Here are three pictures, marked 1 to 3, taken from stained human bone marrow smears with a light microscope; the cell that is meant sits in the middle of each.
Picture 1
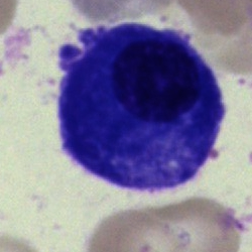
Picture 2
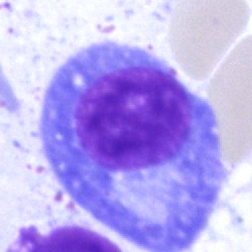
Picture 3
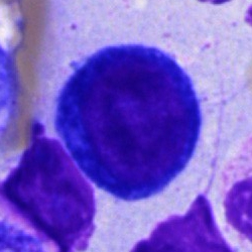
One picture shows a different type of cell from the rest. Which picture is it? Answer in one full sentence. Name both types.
All pictures except 3 show plasma cells; picture 3 shows a proerythroblast.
